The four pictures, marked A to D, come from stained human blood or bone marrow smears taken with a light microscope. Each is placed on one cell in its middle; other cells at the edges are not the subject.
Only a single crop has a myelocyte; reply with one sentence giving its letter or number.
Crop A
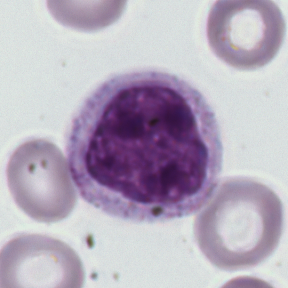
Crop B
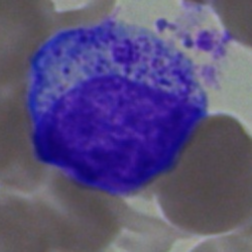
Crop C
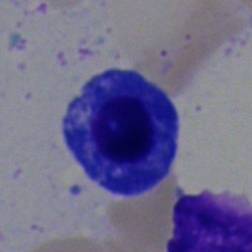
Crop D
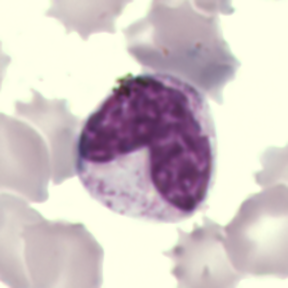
The crop marked B is the one that shows a myelocyte.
